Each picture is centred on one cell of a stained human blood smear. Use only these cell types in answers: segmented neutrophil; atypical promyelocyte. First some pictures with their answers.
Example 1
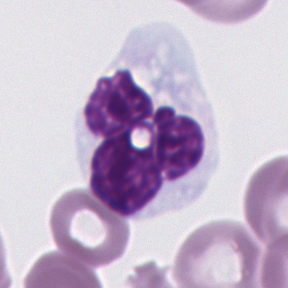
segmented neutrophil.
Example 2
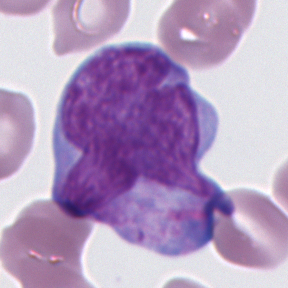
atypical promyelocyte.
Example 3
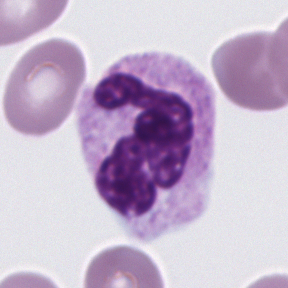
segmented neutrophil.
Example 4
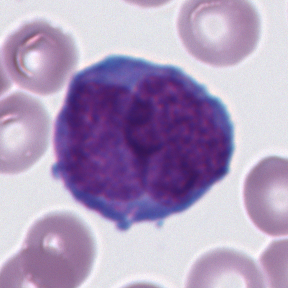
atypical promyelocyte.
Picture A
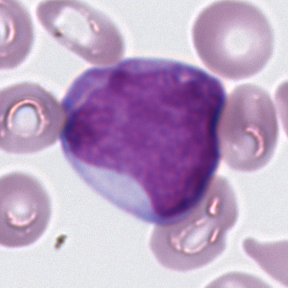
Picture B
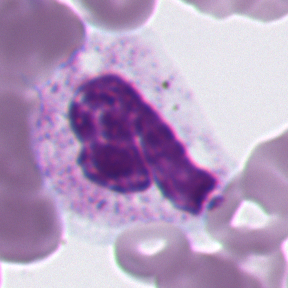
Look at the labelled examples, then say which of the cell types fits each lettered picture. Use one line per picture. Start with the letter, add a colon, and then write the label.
A: atypical promyelocyte.
B: segmented neutrophil.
